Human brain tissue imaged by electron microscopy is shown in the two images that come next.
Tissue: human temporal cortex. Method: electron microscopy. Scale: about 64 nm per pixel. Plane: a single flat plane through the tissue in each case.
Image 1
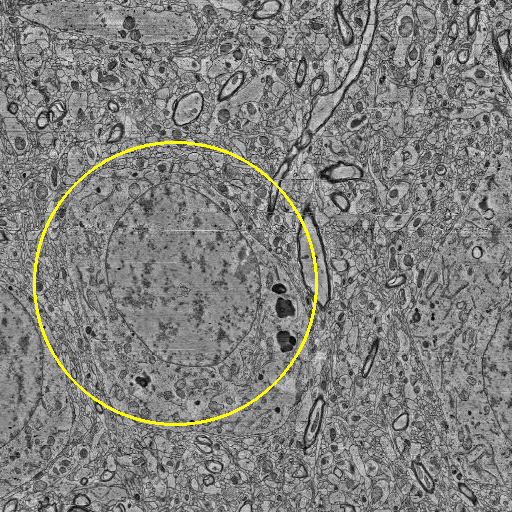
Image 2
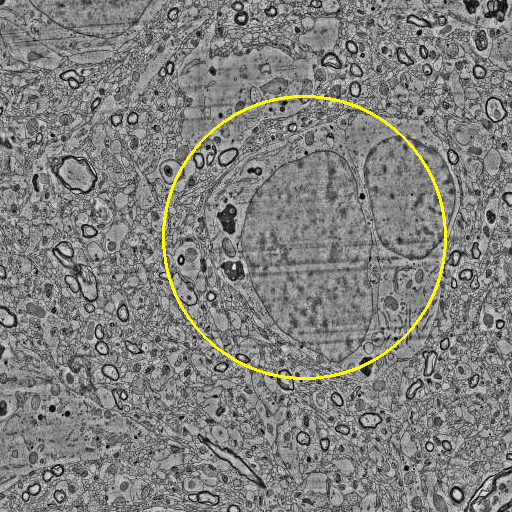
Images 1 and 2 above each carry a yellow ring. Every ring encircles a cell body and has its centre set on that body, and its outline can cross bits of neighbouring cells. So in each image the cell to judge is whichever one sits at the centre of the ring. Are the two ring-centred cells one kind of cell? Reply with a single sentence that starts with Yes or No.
Yes, in Image 1 and Image 2 the cells at the centres of their rings fall into one type.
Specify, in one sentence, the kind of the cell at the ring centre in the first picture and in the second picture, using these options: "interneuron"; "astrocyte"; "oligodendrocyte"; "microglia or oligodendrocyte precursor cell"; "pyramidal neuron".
Each of the two rings is centred on a pyramidal neuron.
